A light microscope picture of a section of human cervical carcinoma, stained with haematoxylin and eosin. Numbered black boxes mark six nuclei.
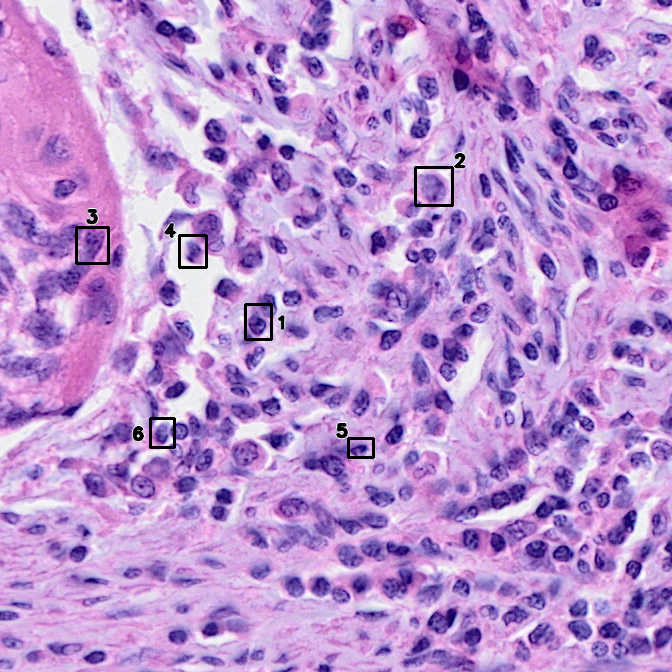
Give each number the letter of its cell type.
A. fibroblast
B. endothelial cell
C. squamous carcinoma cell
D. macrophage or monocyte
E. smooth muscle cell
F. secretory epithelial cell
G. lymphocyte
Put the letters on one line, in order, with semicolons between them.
G; D; C; G; G; G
